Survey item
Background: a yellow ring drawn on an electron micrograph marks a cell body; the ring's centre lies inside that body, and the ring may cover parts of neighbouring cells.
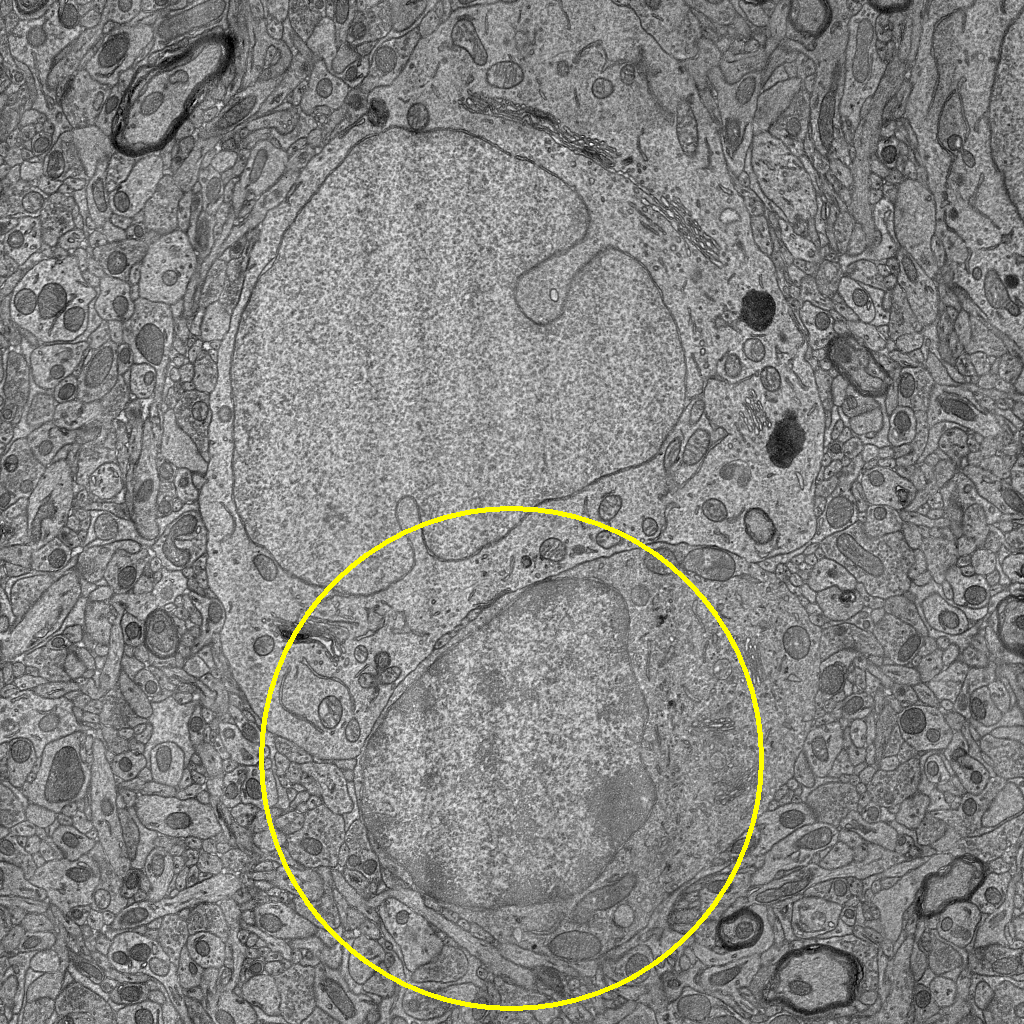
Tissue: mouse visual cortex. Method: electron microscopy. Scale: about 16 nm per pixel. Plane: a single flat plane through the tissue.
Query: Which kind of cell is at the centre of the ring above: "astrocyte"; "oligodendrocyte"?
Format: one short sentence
The cell in the middle of the ring is an oligodendrocyte.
